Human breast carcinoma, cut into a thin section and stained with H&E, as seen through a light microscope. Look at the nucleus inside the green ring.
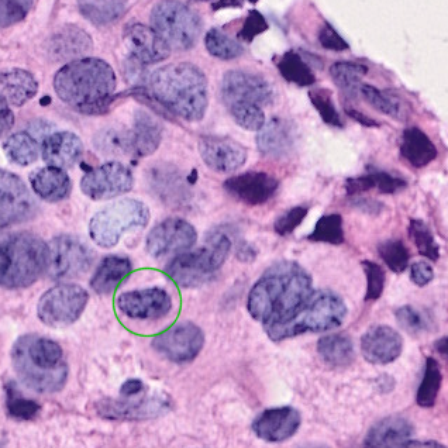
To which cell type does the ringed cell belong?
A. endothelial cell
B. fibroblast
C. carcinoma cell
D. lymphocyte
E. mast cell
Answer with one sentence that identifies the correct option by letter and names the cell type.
Option C is right in classifying the ringed cell as a carcinoma cell.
